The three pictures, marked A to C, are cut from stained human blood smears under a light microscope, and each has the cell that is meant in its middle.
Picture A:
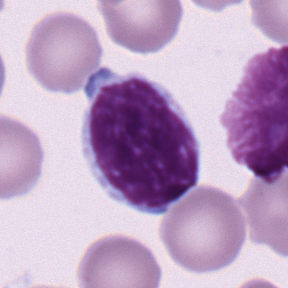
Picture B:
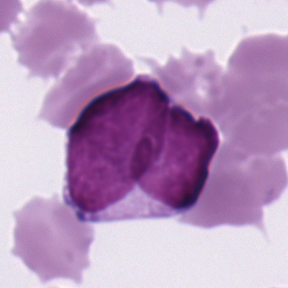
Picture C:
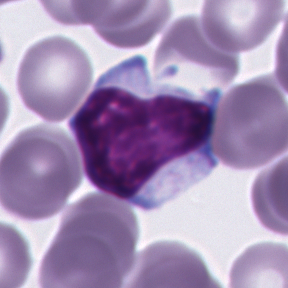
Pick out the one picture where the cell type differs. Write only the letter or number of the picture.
B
